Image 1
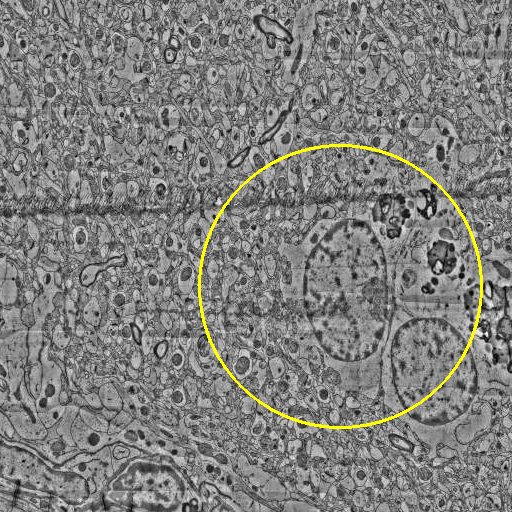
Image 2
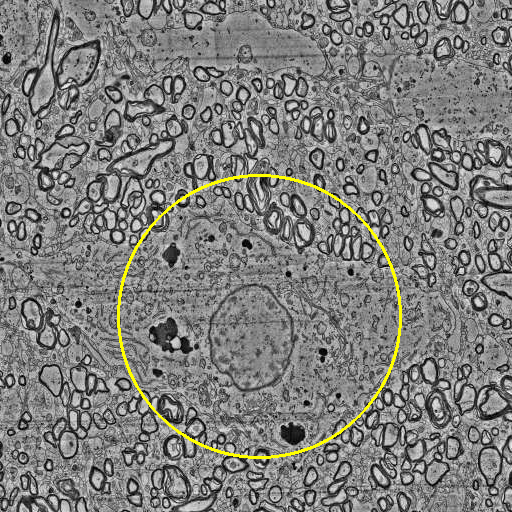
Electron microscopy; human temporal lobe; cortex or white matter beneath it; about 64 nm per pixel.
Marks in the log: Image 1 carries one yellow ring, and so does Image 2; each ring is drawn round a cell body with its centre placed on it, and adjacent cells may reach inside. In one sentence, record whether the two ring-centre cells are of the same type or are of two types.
The two cells at the ring centres, one in each image, are of two types.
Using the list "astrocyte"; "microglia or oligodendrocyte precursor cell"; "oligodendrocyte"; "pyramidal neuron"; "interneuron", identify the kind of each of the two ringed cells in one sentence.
The first is an astrocyte and the second is a pyramidal neuron.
